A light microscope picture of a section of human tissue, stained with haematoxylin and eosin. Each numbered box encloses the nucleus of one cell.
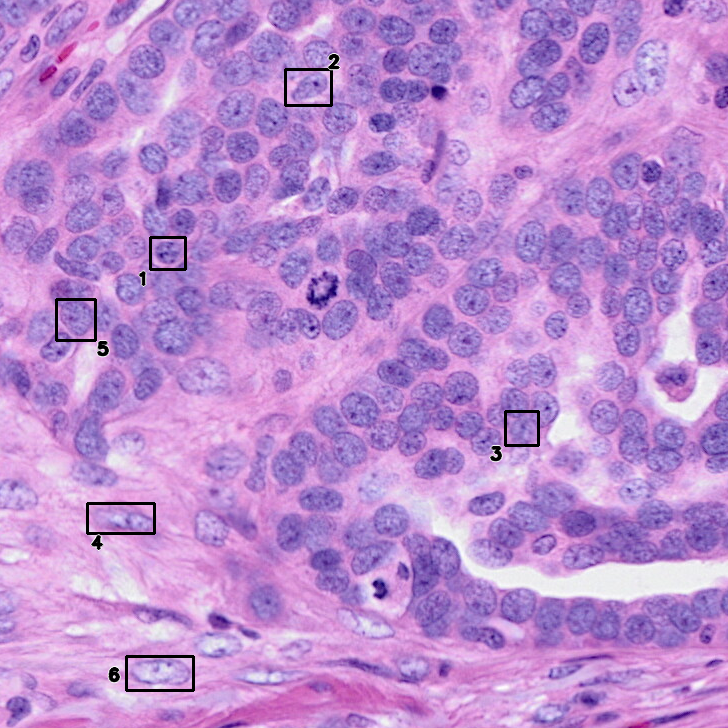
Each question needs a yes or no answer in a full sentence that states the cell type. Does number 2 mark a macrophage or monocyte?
Yes, the cell given number 2 is a macrophage or monocyte.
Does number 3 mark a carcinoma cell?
Yes, cell 3 among the marked cells is a carcinoma cell.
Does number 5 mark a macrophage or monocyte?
No, the marker 5 sits on a carcinoma cell, not on a macrophage or monocyte.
